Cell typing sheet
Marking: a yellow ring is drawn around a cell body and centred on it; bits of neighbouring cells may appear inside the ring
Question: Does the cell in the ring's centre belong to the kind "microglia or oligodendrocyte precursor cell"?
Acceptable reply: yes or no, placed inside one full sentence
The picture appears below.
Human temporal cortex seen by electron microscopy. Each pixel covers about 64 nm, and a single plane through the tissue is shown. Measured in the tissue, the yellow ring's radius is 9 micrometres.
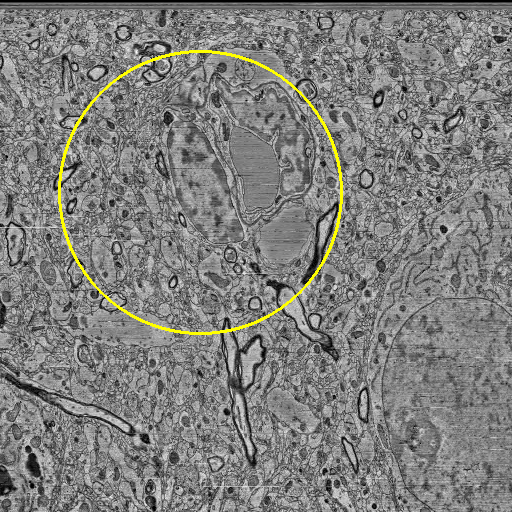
Yes, the cell in the centre of the ring is of the kind asked about.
